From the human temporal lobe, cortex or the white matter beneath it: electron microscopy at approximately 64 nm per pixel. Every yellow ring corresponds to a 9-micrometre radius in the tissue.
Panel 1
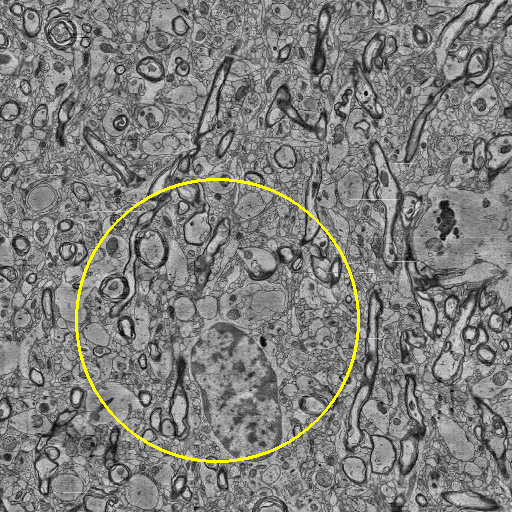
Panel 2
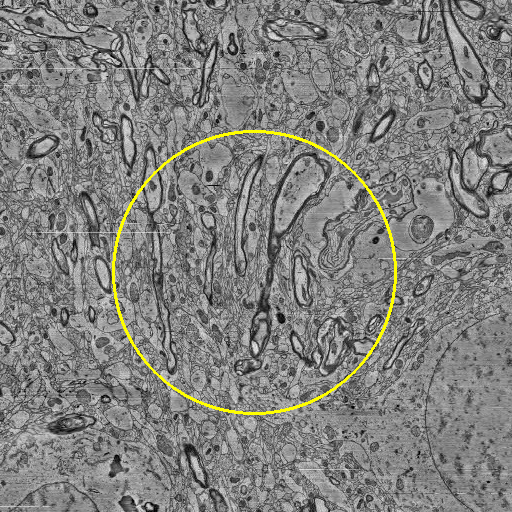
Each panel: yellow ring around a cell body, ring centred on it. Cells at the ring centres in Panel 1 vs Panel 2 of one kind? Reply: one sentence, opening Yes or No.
Yes, Panel 1 and Panel 2 have cells of one kind at the ring centres.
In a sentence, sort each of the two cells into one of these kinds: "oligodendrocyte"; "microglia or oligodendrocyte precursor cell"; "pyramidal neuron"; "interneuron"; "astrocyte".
Each one of the two ringed cells is a microglial cell or oligodendrocyte precursor cell.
